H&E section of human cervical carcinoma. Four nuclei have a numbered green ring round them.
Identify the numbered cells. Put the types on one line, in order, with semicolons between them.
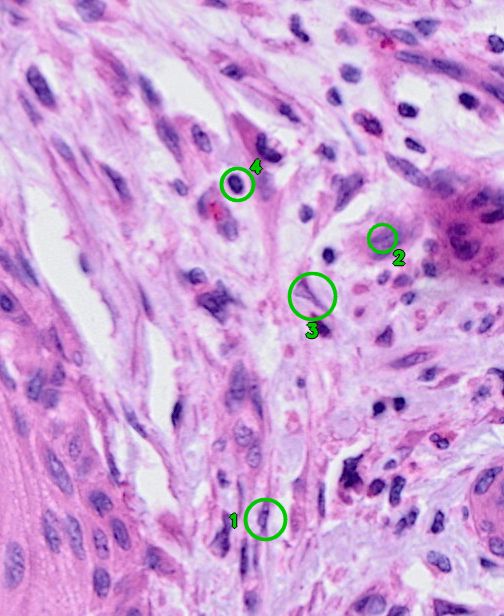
fibroblast; endothelial cell; fibroblast; lymphocyte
